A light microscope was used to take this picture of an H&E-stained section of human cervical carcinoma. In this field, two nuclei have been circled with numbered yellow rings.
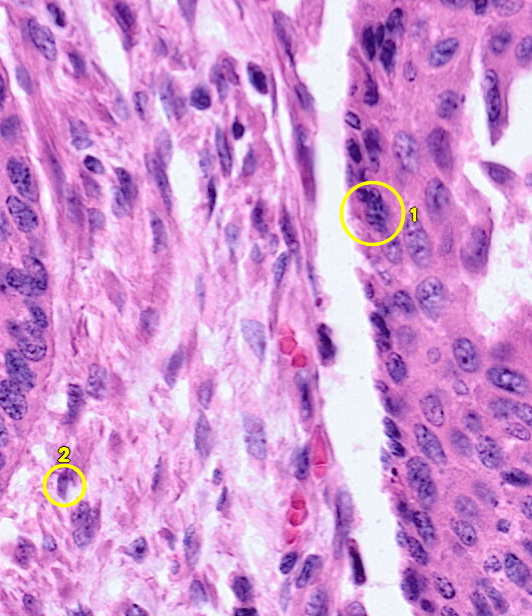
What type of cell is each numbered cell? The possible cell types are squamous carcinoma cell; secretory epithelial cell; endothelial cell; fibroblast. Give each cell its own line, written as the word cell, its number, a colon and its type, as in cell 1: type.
cell 1: squamous carcinoma cell
cell 2: fibroblast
